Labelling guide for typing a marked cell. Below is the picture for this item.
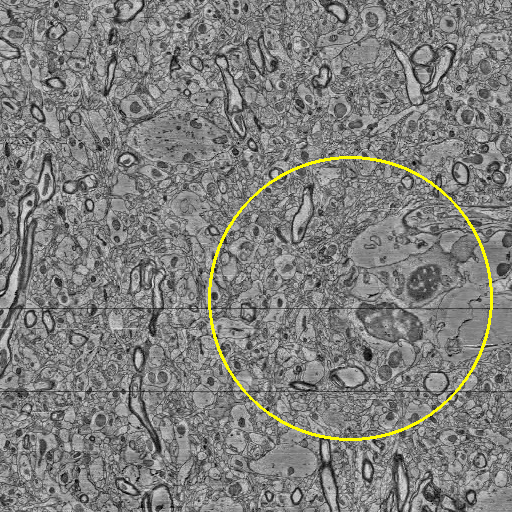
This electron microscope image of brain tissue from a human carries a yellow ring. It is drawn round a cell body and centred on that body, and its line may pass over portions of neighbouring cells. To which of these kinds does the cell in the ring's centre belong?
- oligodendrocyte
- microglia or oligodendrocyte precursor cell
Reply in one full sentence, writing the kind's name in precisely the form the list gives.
Here we have a microglial cell or oligodendrocyte precursor cell at the centre of the yellow ring in the picture.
